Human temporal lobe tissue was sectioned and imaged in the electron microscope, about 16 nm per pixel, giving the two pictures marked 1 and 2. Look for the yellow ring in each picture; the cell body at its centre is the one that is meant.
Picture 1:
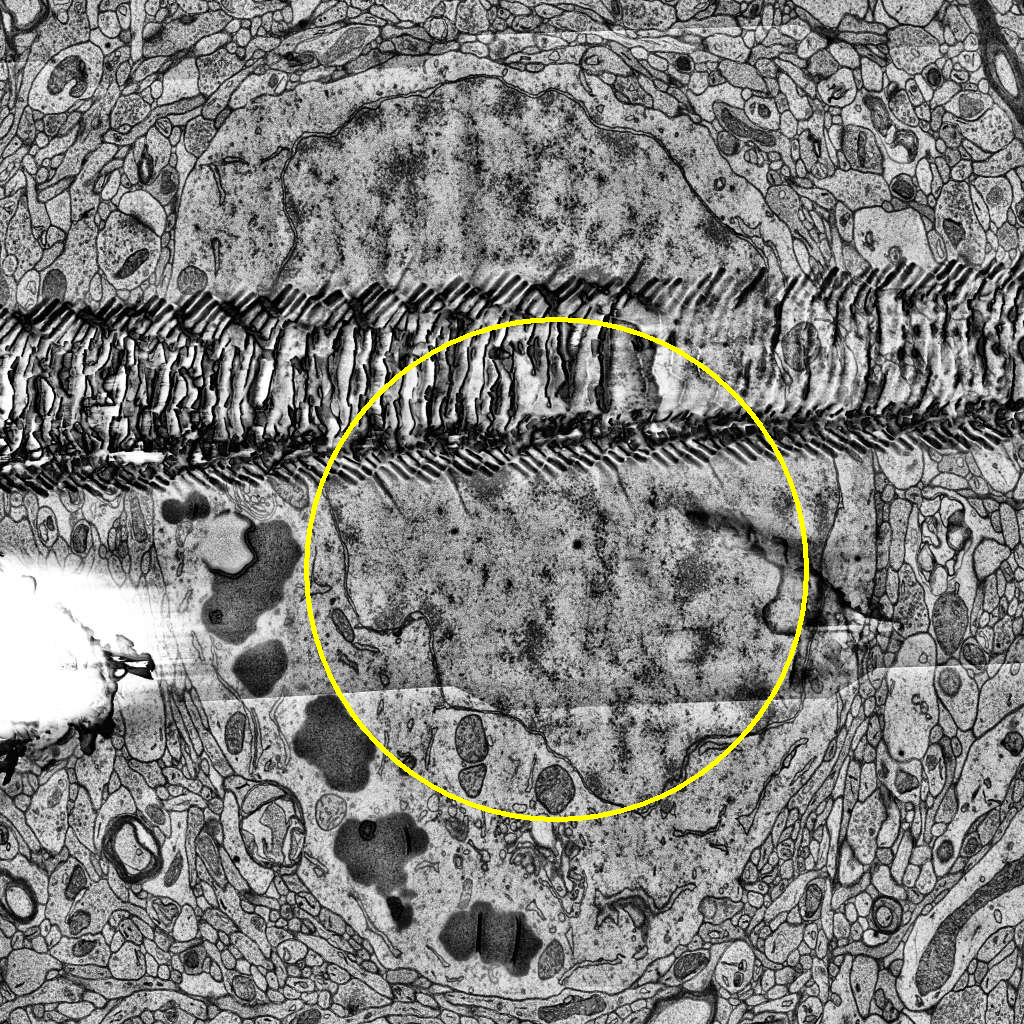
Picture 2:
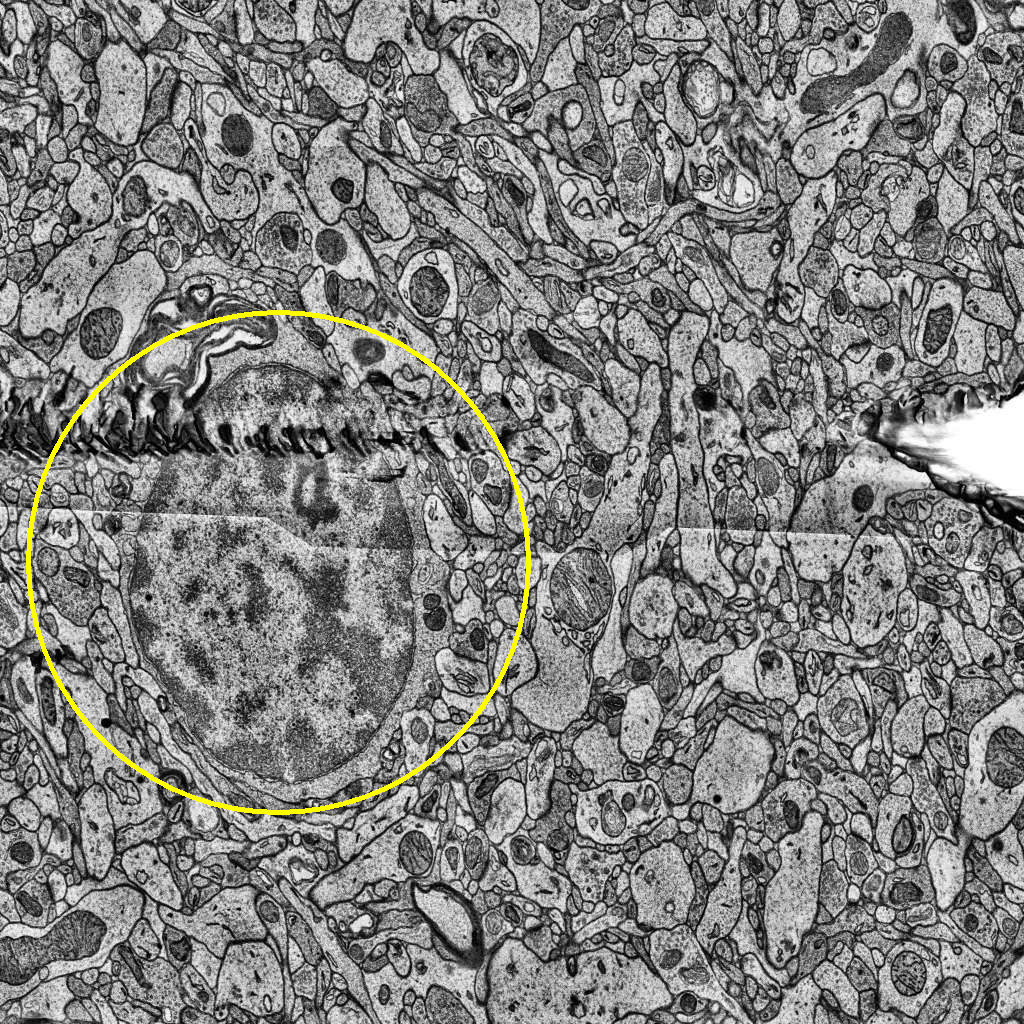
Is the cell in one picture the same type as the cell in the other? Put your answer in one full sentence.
No, the types are not the same, since picture 1 shows an interneuron and picture 2 an oligodendrocyte.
